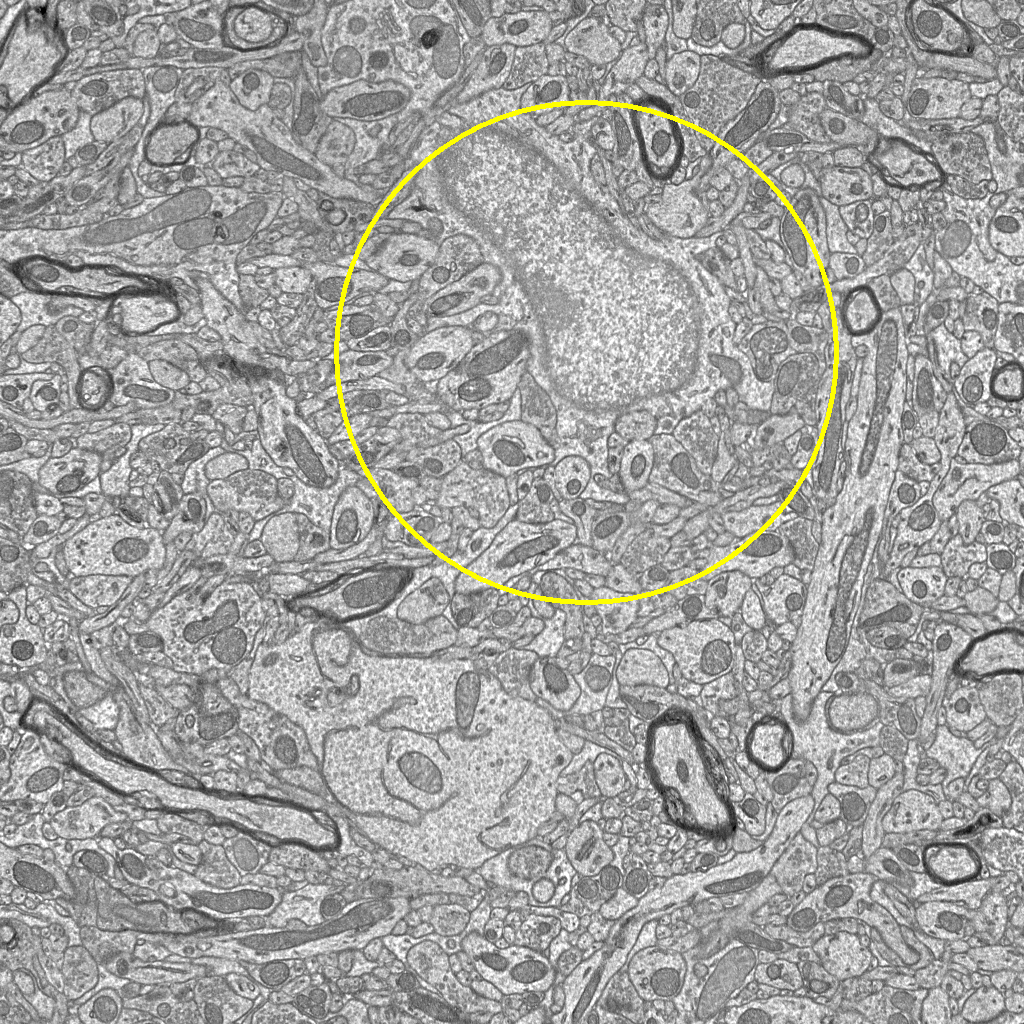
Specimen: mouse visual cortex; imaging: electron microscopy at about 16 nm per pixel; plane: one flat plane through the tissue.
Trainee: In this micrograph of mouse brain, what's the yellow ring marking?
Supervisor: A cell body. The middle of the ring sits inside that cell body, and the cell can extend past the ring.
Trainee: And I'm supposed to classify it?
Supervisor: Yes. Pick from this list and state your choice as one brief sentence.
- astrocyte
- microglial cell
The cell at the ring's center is an astrocyte.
